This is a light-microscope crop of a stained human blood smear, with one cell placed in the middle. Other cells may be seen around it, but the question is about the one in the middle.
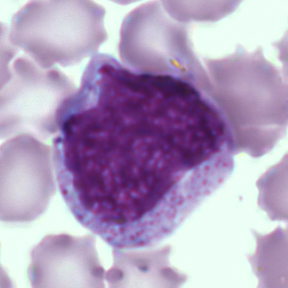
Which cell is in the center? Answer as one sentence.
The middle of this crop holds a myelocyte.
